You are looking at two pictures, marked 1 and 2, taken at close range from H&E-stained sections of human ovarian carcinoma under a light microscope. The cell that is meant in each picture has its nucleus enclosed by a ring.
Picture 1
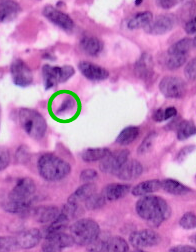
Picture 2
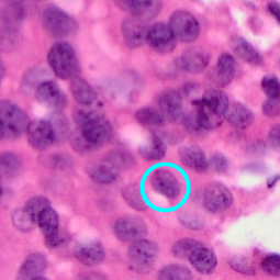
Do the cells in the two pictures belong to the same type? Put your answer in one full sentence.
No; the cell in picture 1 is a “macrophage or monocyte”, while the one in picture 2 is a carcinoma cell.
